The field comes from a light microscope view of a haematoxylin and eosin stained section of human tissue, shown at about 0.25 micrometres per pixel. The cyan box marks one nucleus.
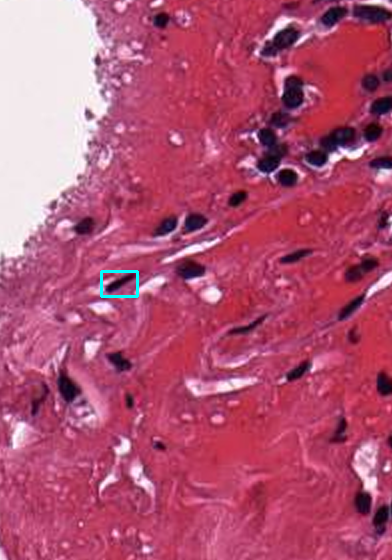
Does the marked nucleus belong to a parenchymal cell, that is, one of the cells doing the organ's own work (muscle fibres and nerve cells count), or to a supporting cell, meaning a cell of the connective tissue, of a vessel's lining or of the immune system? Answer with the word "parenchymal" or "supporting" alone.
supporting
